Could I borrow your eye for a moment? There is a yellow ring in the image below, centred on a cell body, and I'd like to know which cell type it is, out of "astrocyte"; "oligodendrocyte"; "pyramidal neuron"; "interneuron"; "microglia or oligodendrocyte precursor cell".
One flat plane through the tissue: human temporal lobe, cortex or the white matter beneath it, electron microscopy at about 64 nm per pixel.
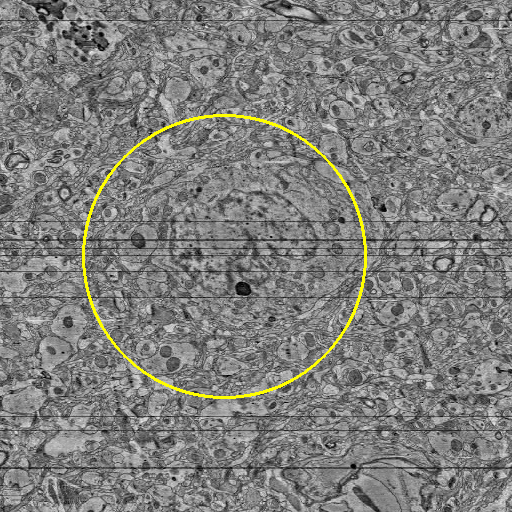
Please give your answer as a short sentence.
The cell body at the centre is that of an interneuron.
